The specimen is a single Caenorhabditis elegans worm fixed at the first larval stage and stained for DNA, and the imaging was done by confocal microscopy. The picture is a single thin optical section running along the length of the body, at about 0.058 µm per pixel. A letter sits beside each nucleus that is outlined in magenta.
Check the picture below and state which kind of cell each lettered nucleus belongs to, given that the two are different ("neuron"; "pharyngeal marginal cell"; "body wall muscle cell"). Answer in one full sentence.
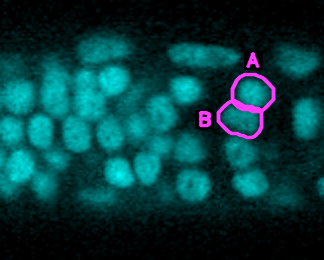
A is in a neuron and B is in a pharyngeal marginal cell.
